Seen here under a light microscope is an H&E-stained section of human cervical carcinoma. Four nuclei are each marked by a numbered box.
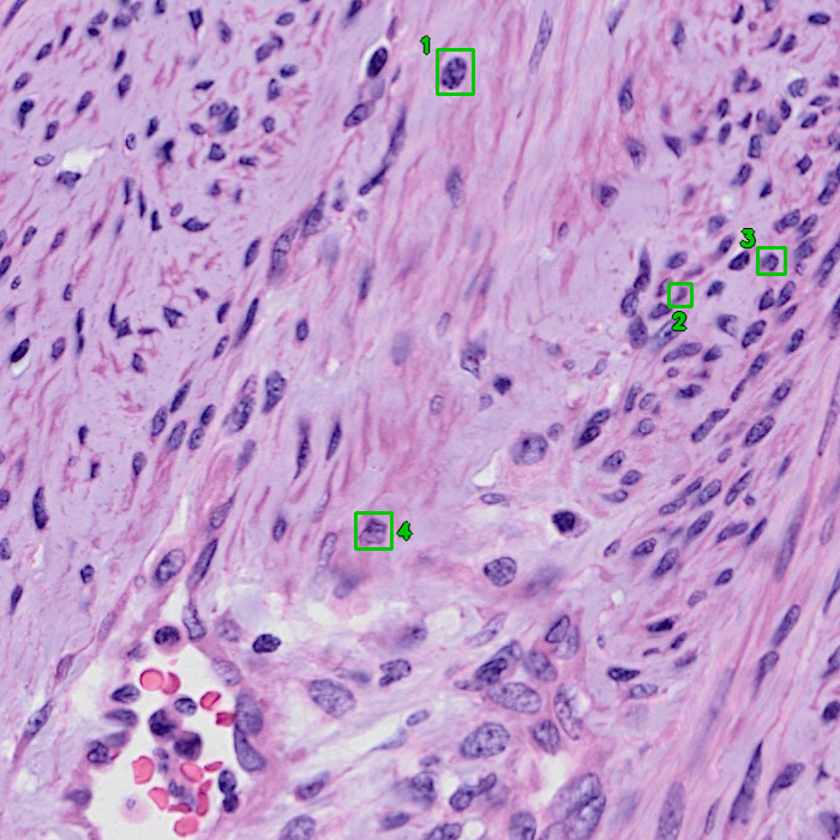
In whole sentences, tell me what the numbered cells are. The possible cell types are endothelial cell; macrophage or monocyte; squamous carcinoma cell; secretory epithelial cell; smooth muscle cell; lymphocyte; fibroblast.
Cell 1 is a lymphocyte. Cells 2, 3 and 4 are smooth muscle cells.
